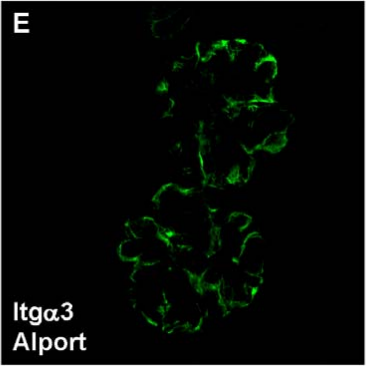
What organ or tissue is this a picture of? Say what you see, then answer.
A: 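A rounded, lobulated tuft of looping structures.
Conclusion: glomeruli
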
